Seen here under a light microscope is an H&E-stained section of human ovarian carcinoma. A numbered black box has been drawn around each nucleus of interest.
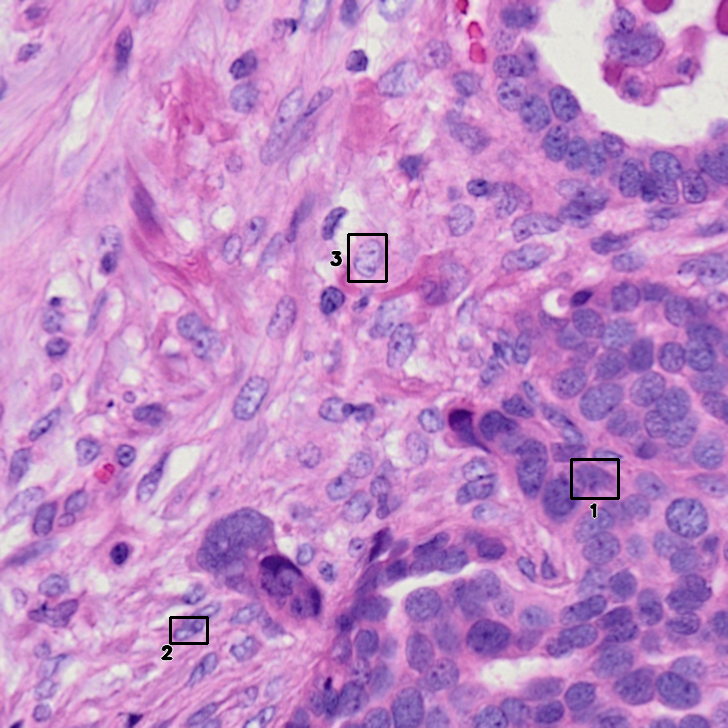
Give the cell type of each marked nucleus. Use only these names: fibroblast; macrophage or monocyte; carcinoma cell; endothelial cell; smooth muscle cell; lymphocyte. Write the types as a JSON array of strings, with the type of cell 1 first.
["carcinoma cell", "fibroblast", "fibroblast"]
